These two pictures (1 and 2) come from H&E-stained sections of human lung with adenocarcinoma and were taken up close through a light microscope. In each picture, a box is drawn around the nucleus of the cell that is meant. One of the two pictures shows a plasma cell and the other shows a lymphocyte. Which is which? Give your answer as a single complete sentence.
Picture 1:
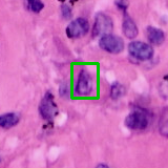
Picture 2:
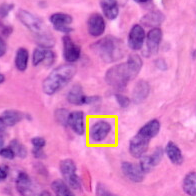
Picture 1 shows a plasma cell and picture 2 shows a lymphocyte.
